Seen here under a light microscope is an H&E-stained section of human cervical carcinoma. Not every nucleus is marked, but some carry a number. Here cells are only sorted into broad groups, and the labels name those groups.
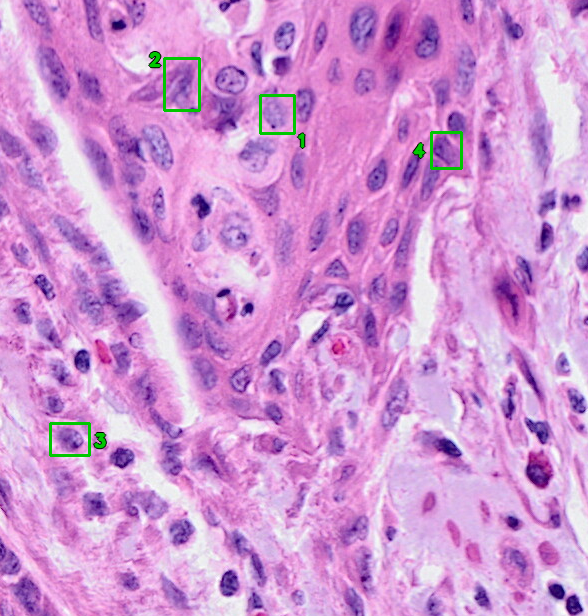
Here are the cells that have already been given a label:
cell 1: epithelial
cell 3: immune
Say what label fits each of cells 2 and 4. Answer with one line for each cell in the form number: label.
2: epithelial
4: epithelial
